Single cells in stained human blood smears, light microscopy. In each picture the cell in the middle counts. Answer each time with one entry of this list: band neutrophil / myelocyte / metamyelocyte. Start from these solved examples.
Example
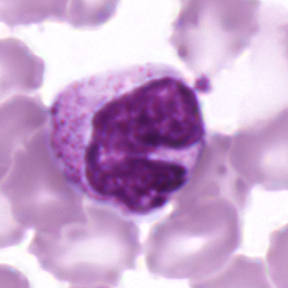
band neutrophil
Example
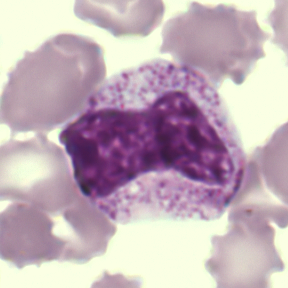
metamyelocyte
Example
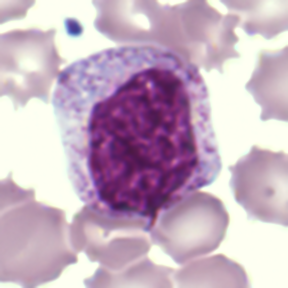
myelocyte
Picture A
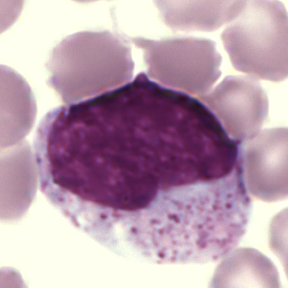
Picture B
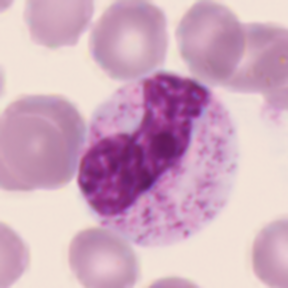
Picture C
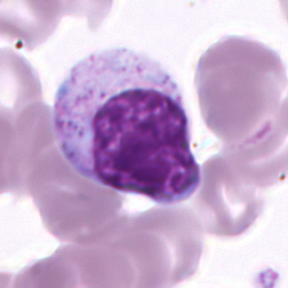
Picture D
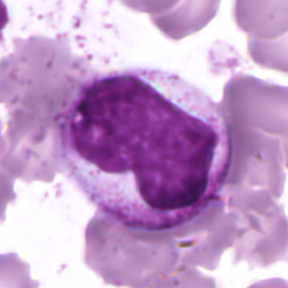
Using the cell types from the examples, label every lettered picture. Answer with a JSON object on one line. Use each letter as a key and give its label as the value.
{"A": "myelocyte", "B": "band neutrophil", "C": "metamyelocyte", "D": "metamyelocyte"}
